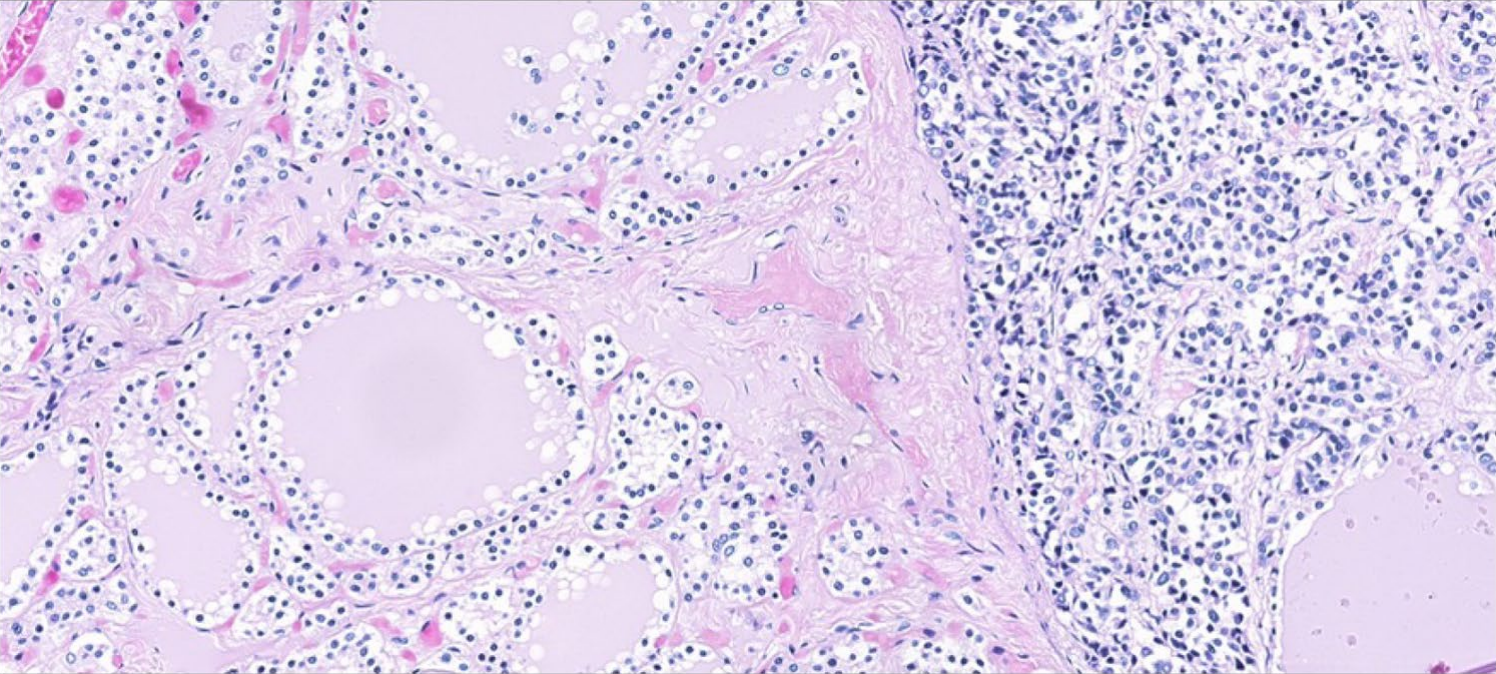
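This is thyroid tissue with a tumor pressing against it. On the left are normal-looking thyroid follicles. They are round spaces filled with pale pink colloid and lined by a single layer of cuboidal cells with small round nuclei. Many follicles show small clear bubbles along the edge of the colloid. A band of pink fibrous tissue runs down the middle. In the lower right corner, a pale pink follicle-like space is surrounded by these tumor cells.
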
